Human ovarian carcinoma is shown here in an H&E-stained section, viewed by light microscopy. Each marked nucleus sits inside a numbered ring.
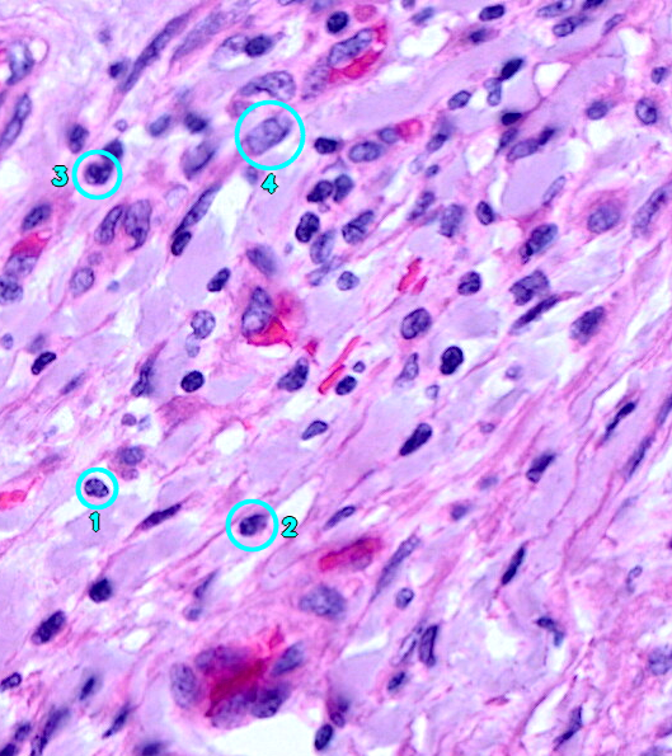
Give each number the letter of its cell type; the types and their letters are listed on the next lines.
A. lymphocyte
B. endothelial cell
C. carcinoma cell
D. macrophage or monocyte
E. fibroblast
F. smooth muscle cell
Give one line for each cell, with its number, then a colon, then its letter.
1: A
2: A
3: A
4: E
